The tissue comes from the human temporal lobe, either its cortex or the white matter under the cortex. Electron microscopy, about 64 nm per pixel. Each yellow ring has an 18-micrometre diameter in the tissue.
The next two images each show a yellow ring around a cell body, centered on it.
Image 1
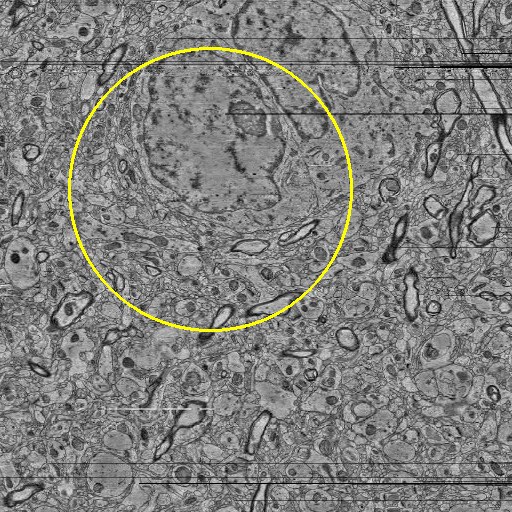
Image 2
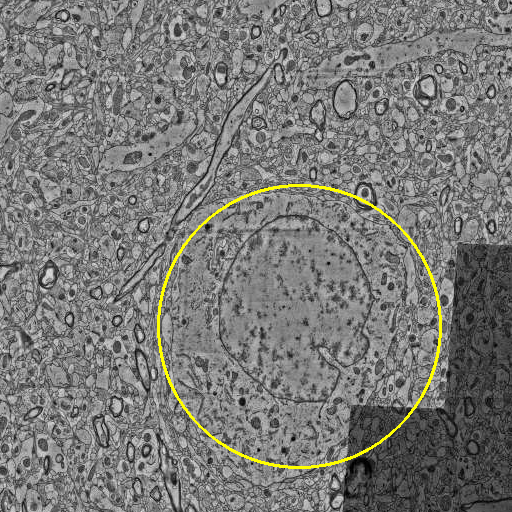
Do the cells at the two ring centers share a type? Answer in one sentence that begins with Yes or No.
Yes, across the two images the cells at the ring centers share one type.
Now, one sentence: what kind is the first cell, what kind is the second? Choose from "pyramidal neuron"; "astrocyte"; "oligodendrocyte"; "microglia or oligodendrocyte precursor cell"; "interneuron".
In each picture the ringed cell is a pyramidal neuron.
